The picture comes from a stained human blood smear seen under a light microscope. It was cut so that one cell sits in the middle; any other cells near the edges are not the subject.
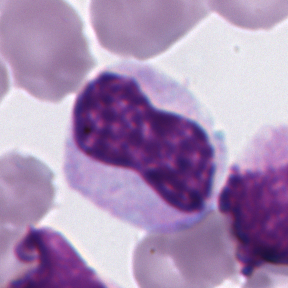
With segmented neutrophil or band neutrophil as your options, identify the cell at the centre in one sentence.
The cell in the middle of the field of view is a band neutrophil.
